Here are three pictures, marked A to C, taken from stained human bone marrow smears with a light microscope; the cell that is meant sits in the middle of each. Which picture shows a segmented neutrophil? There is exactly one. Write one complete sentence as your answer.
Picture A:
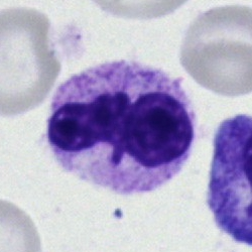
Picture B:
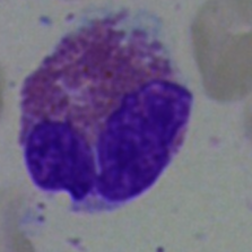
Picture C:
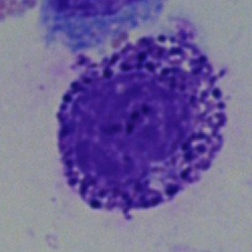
The picture with the segmented neutrophil is A.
